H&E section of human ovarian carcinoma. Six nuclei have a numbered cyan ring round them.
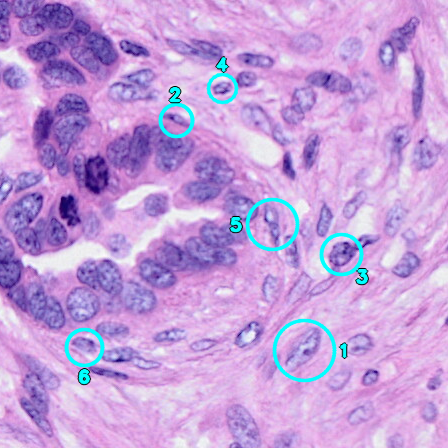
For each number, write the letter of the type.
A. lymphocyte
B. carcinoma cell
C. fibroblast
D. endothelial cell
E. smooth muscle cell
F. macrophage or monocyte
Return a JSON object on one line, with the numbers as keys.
{"1": "C", "2": "C", "3": "F", "4": "A", "5": "C", "6": "C"}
